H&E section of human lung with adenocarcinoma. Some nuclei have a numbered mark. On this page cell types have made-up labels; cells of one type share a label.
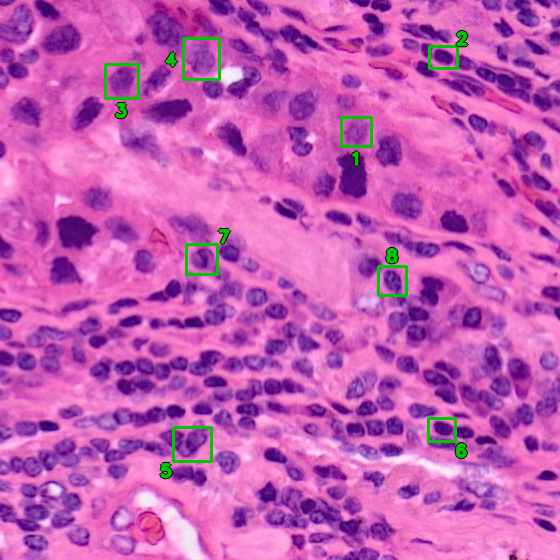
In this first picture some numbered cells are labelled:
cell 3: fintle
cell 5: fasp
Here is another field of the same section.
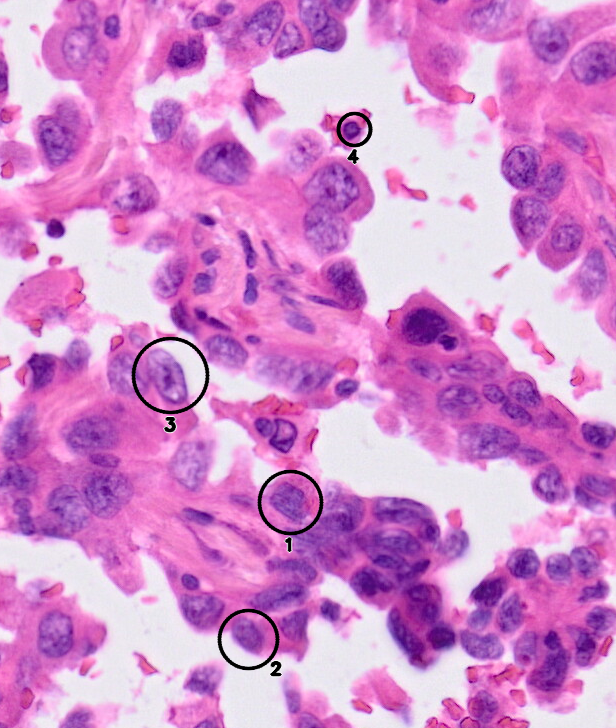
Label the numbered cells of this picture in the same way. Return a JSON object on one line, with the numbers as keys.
{"1": "fintle", "2": "fintle", "3": "fintle", "4": "fasp"}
